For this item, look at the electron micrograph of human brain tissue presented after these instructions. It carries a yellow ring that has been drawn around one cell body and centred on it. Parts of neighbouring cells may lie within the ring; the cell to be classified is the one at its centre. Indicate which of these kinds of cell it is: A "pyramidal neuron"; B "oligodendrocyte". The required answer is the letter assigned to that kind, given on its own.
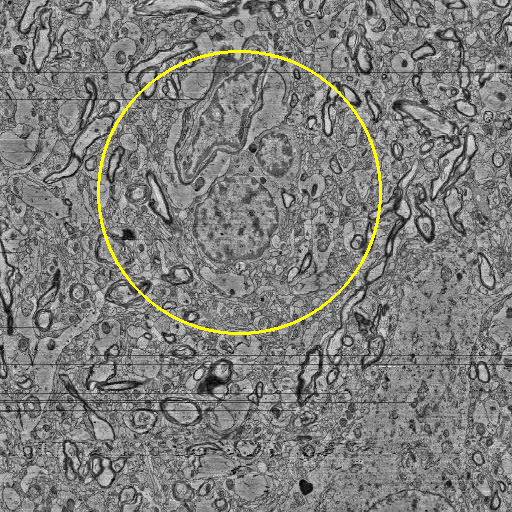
B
